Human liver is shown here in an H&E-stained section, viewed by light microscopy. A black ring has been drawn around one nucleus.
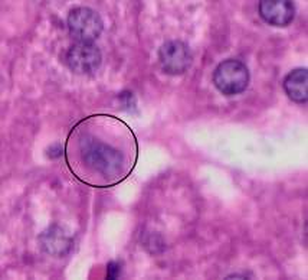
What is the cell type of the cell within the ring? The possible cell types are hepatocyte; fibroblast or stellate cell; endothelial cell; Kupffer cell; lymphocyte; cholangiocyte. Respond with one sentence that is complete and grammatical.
In the context of this tissue, the cell within the ring is a Kupffer cell.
